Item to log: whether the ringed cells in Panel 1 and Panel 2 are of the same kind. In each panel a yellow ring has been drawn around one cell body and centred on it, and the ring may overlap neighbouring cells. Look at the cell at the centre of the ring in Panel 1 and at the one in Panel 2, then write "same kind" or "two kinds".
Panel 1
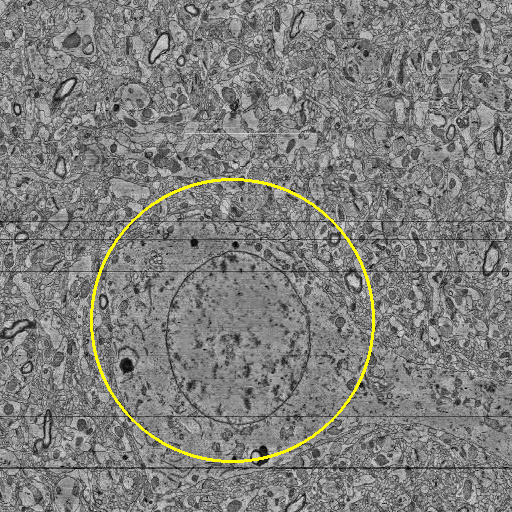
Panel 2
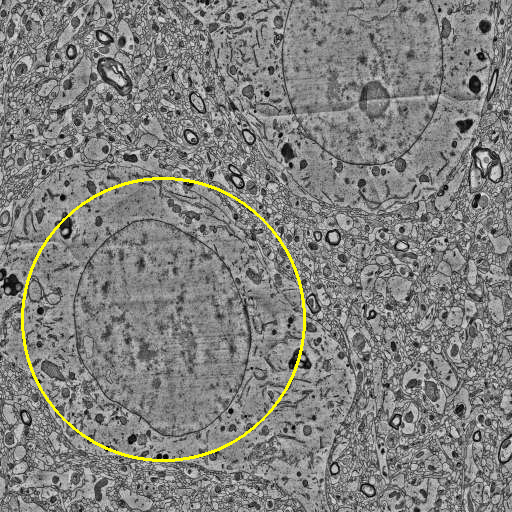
same kind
